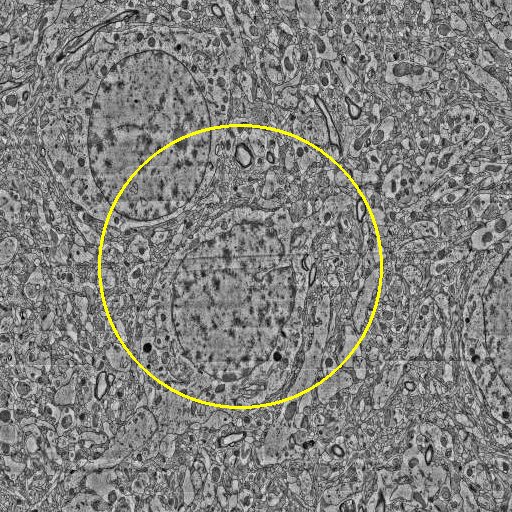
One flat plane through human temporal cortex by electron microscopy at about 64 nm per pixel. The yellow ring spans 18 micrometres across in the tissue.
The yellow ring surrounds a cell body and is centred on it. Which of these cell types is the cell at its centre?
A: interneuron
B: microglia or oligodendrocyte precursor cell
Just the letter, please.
A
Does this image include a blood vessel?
No, the picture includes no blood vessel.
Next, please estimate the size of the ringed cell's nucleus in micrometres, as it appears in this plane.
In this plane, the nucleus of the cell at the centre of the ring measures about 10 by 8 micrometres.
